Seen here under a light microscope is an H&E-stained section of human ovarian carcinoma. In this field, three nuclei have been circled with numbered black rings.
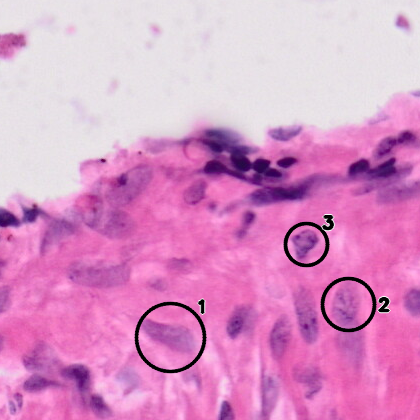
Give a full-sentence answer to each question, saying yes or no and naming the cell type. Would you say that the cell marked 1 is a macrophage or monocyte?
No, the cell bearing the number 1 is a fibroblast, not a macrophage or monocyte.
